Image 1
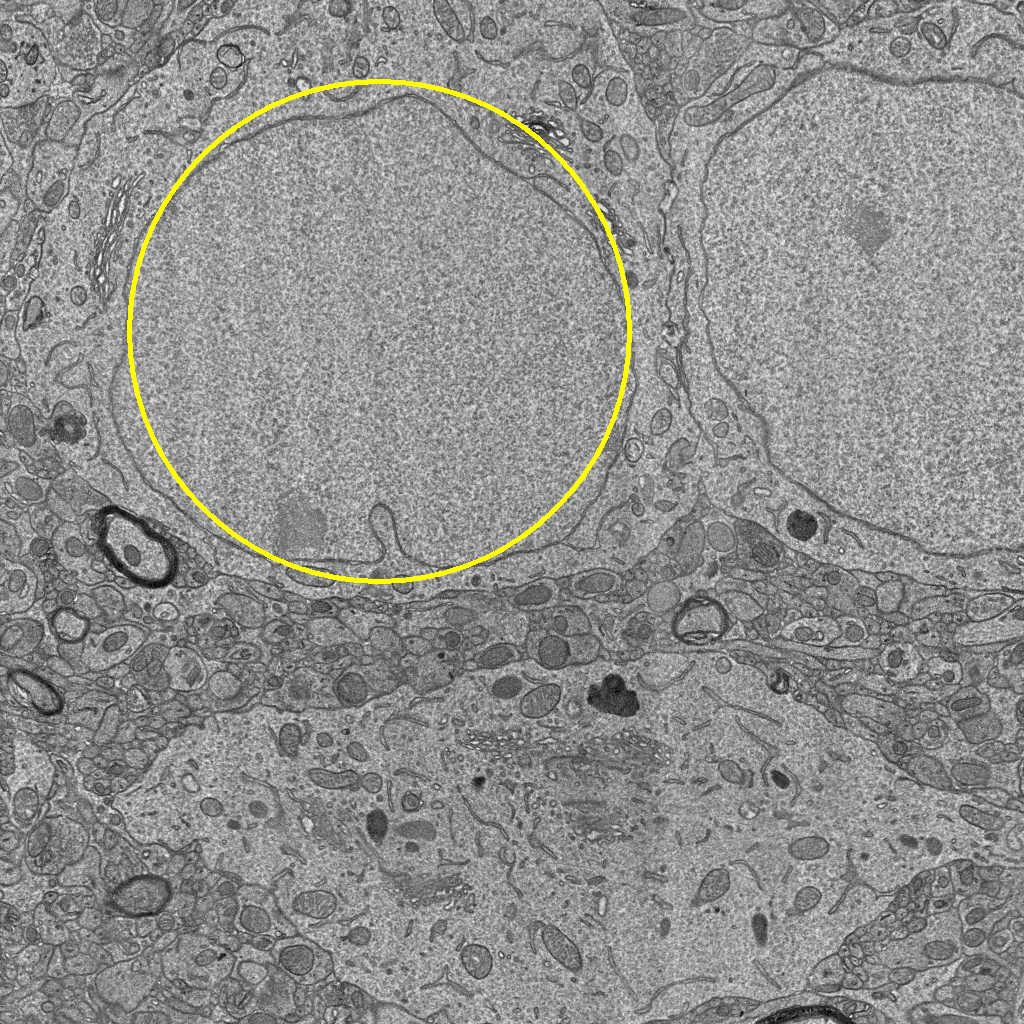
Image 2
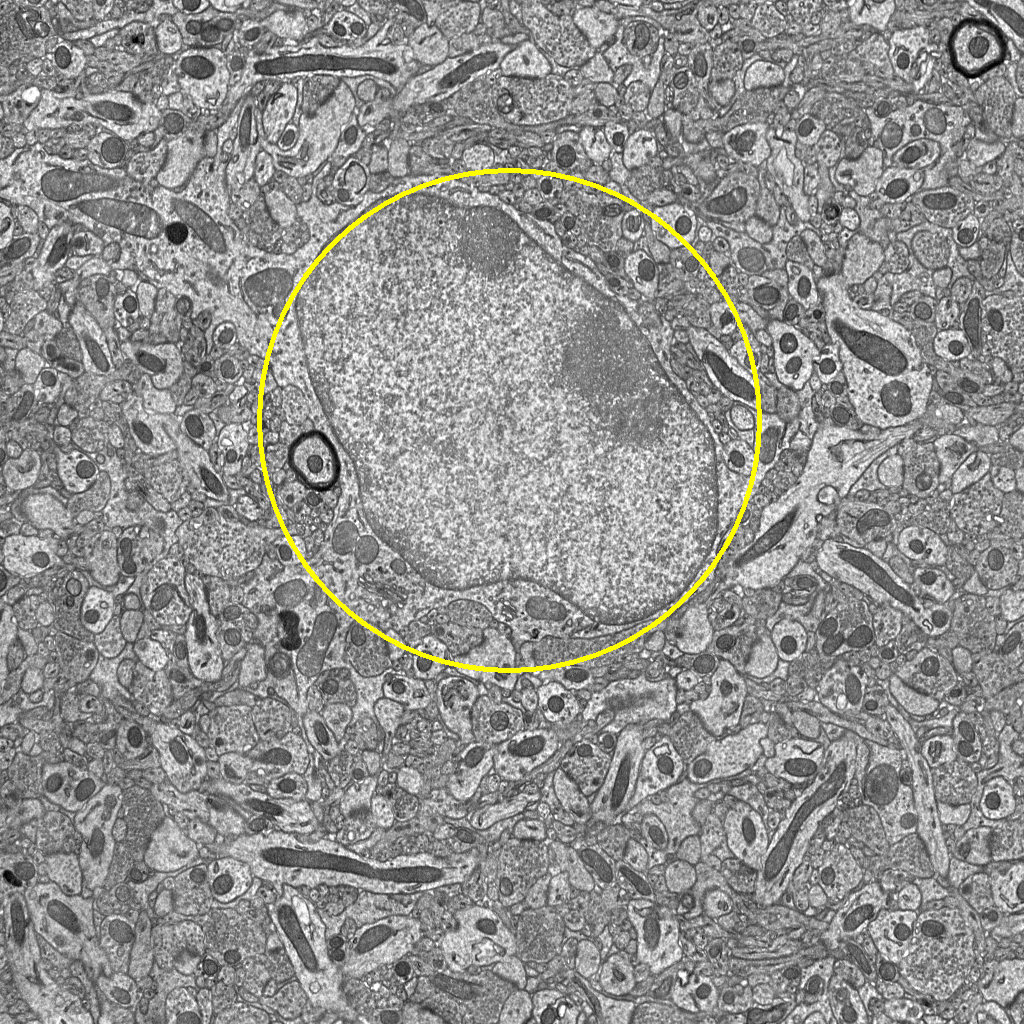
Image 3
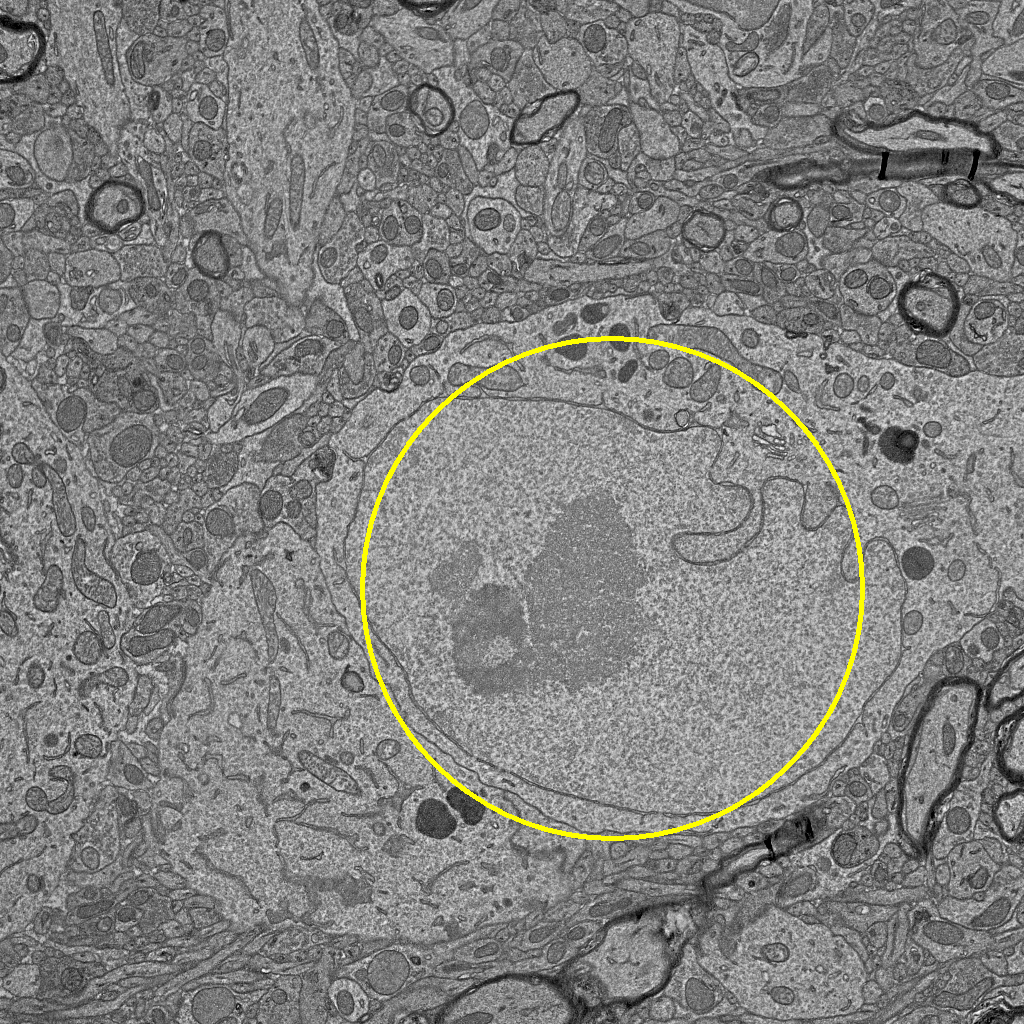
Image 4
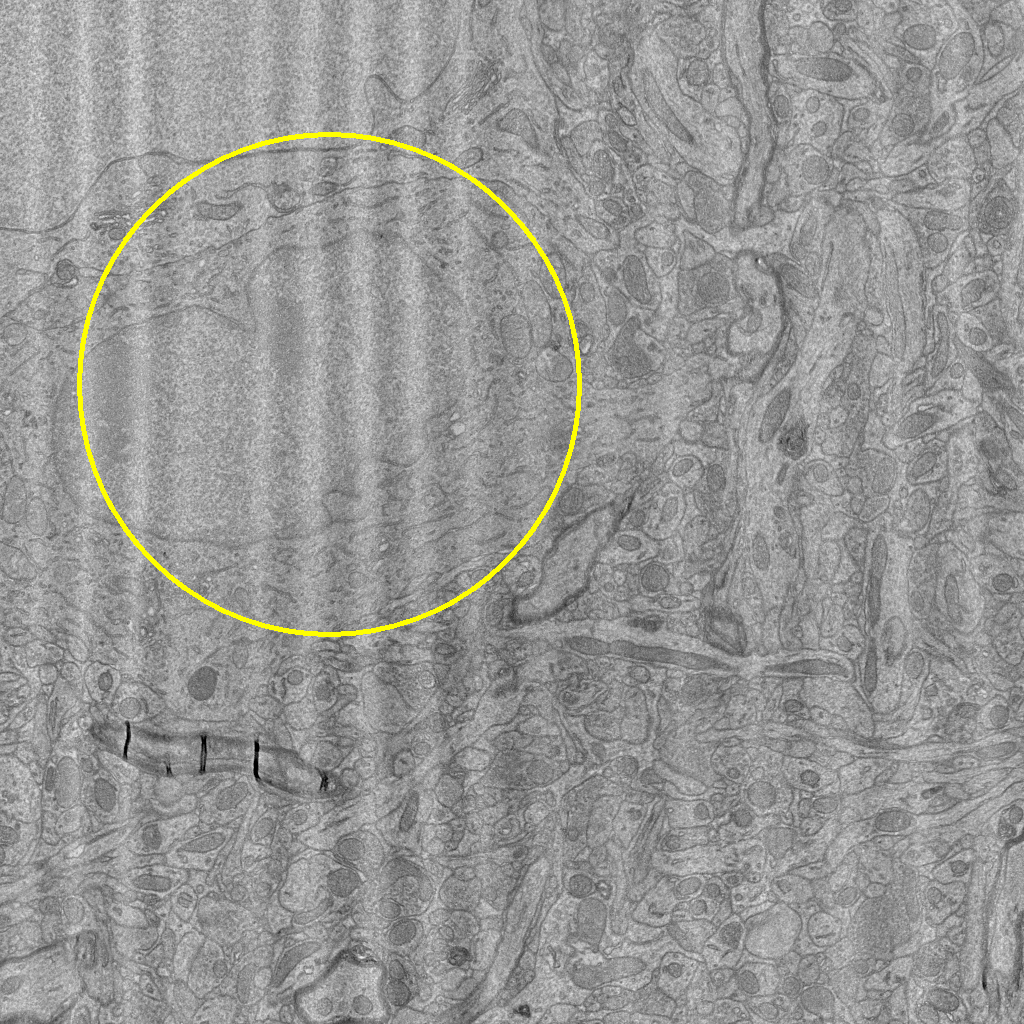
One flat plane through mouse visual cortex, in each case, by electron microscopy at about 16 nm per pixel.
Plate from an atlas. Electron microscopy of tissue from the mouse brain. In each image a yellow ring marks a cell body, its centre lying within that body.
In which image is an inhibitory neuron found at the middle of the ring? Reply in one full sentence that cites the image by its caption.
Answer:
The requested cell is the one at the ring's centre in Image 3.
